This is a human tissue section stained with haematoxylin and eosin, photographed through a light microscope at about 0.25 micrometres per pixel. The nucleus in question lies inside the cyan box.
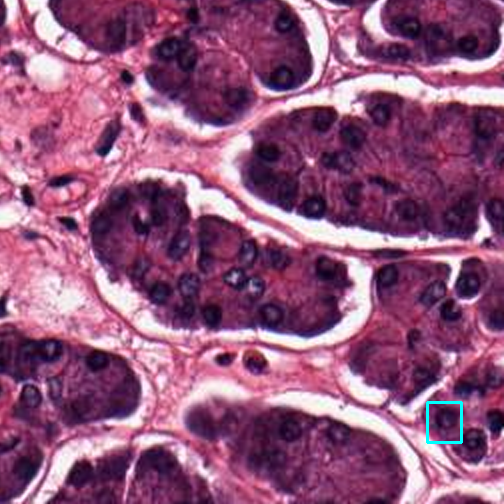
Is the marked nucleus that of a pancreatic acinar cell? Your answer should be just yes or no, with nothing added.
yes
